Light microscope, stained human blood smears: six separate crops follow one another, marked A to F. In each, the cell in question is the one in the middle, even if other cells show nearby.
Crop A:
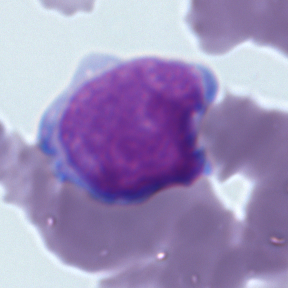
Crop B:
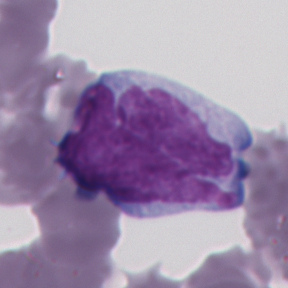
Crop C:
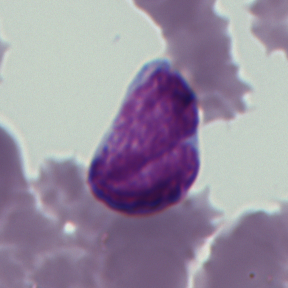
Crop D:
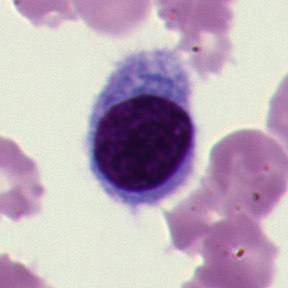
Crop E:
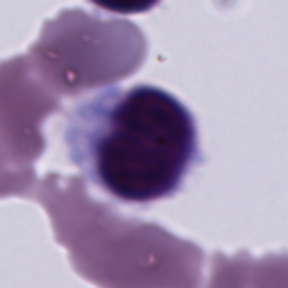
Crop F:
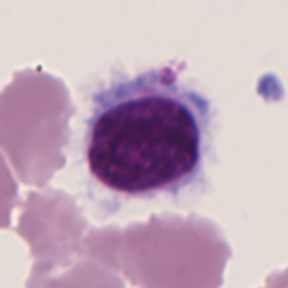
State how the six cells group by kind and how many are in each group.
myeloblast: 3
hairy cell: 3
